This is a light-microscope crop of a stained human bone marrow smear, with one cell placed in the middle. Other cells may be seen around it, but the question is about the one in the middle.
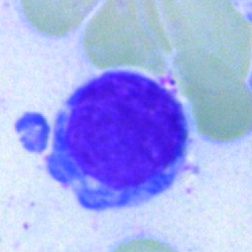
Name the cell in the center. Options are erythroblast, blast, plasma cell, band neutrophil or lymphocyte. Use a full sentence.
The central cell, amid any neighbouring cells, is a lymphocyte.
